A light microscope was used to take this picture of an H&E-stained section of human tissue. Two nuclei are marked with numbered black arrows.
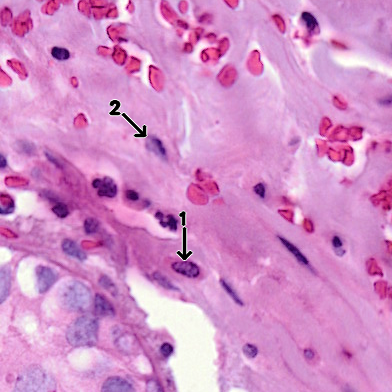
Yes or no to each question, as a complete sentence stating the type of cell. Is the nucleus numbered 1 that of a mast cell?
Yes, the cell labelled with number 1 is a mast cell.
